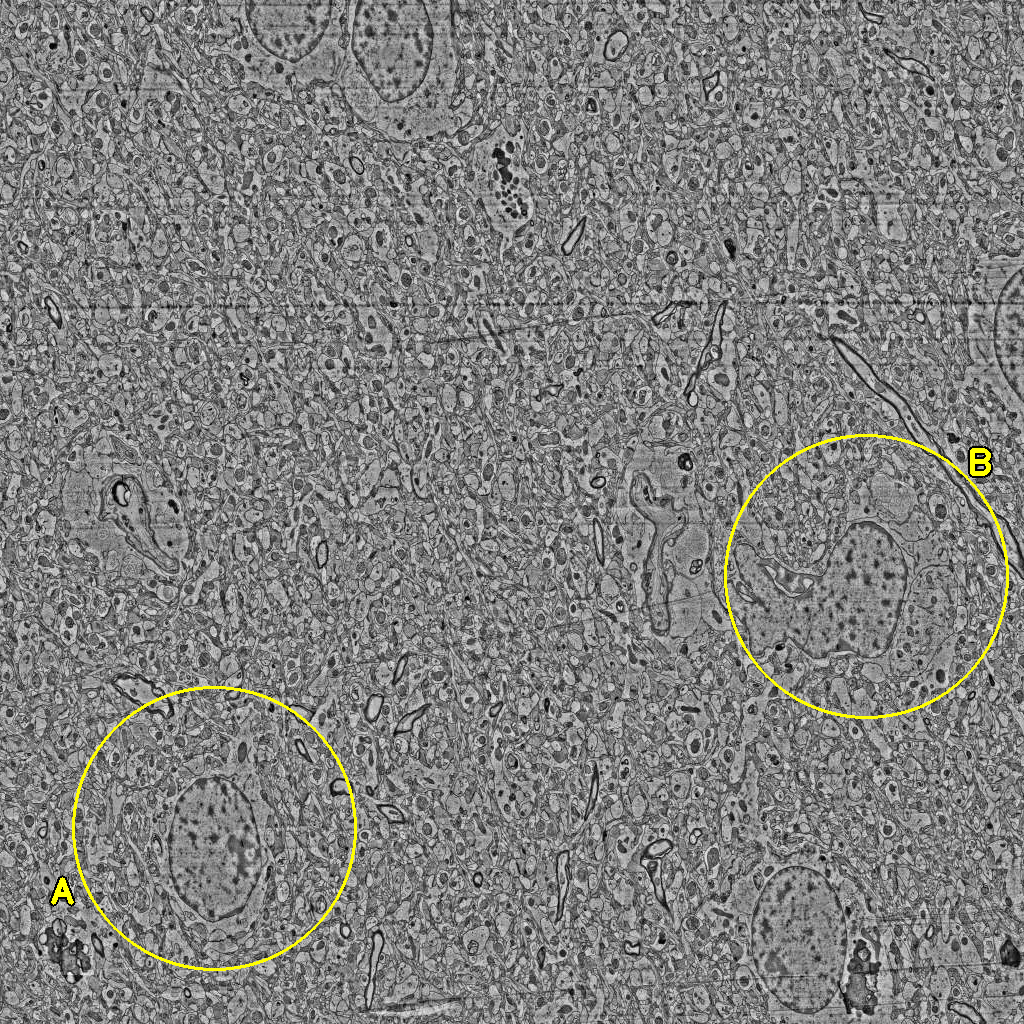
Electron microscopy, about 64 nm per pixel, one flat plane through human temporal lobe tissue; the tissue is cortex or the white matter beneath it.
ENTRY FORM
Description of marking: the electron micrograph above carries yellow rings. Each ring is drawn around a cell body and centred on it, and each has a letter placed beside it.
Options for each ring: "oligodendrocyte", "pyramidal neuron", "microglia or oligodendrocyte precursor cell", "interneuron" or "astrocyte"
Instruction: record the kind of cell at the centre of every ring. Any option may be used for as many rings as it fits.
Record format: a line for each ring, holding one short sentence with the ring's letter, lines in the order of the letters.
Ring A surrounds the cell body of an astrocyte.
Ring B surrounds the cell body of a microglial cell or oligodendrocyte precursor cell.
